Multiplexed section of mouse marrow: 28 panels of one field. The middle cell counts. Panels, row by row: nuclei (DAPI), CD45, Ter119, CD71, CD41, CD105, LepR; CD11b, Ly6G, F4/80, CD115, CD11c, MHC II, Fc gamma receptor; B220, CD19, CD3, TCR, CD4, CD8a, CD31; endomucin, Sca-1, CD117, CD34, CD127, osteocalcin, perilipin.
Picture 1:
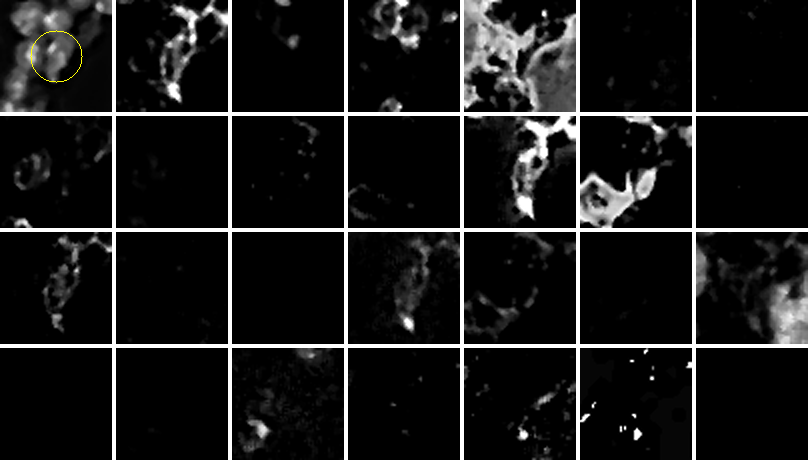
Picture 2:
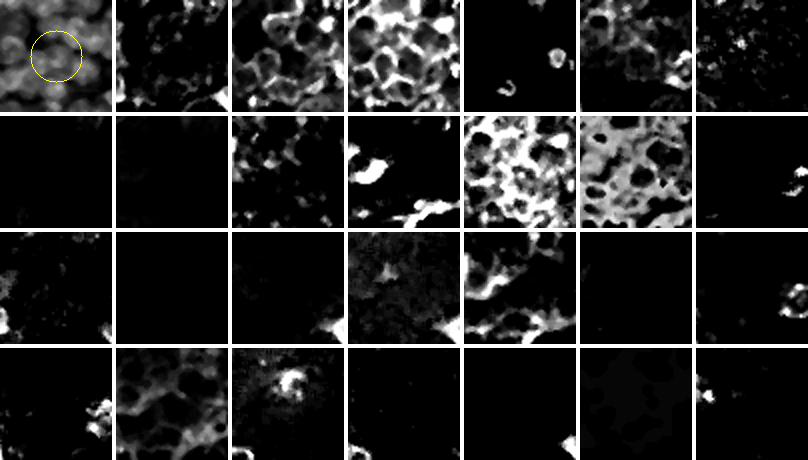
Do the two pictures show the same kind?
Yes, both are conventional dendritic cells.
